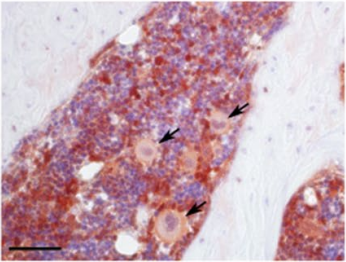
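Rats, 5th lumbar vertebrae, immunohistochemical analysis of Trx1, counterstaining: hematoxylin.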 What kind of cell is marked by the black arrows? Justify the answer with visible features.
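The arrowed cells are giant round cells with pale cytoplasm. They are scattered among many small blue-nucleated cells.
Megakaryocytes.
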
